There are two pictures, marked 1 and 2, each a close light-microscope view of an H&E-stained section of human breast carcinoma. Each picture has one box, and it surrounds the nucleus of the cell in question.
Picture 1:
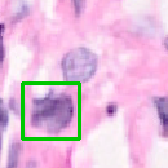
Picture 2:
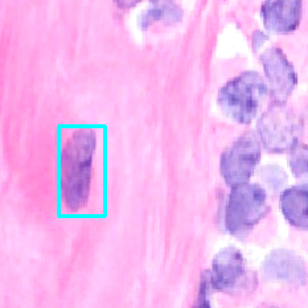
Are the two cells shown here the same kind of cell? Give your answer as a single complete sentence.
No; the cell in picture 1 is a carcinoma cell, while the one in picture 2 is a fibroblast.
